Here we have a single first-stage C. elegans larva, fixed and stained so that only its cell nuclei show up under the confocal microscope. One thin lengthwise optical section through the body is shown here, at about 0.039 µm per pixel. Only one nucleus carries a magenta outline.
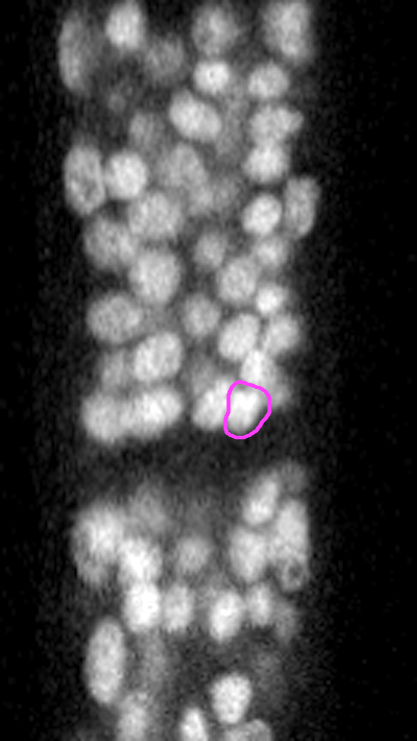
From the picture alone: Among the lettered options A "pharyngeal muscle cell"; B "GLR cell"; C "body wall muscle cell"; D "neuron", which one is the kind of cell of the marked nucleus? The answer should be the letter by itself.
B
